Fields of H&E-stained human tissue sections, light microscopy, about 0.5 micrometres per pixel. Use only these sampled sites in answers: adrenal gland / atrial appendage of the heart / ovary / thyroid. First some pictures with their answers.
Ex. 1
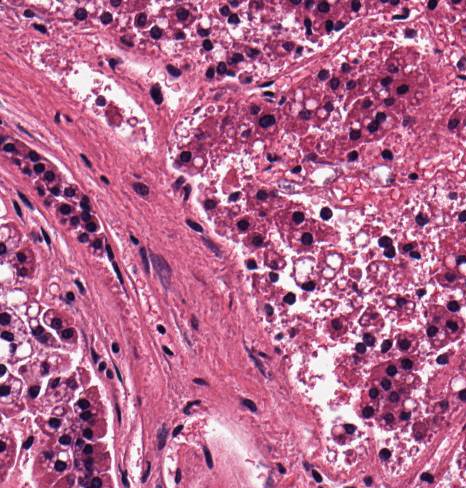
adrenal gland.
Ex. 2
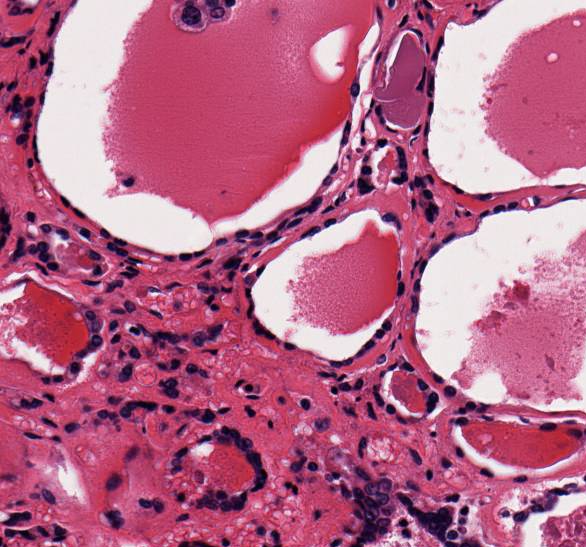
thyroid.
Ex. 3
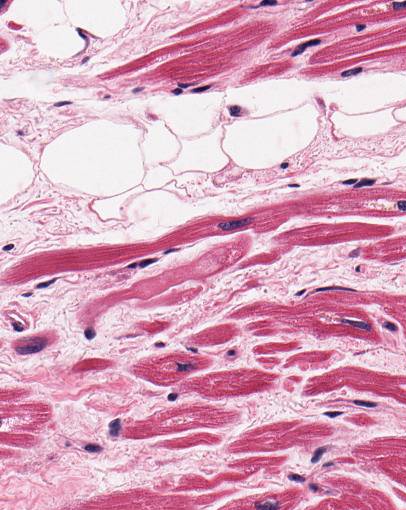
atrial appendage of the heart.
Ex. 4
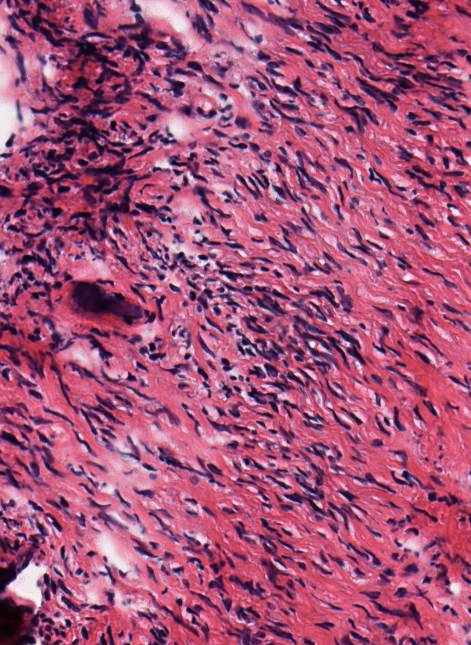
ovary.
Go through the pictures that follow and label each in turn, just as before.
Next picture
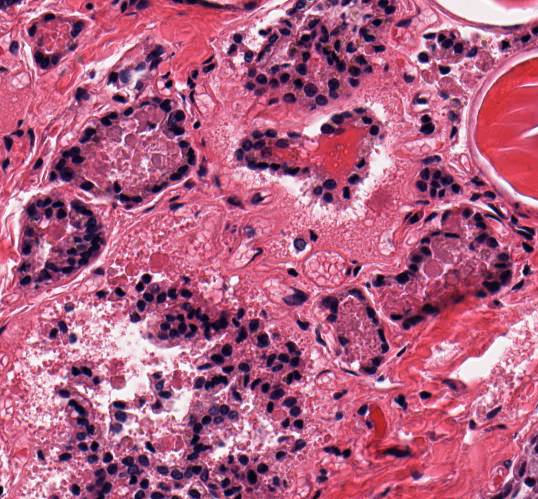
thyroid.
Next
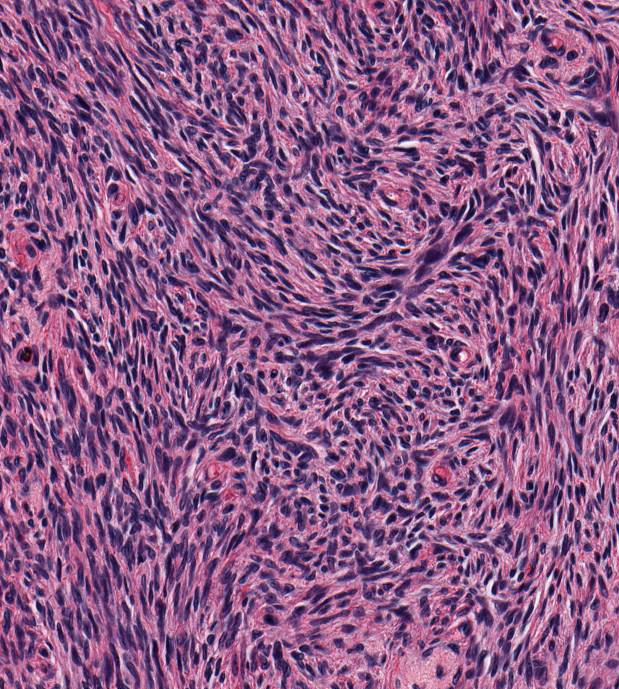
ovary.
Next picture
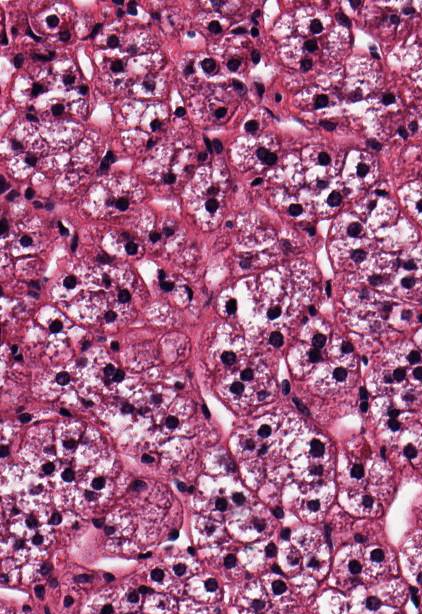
adrenal gland.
